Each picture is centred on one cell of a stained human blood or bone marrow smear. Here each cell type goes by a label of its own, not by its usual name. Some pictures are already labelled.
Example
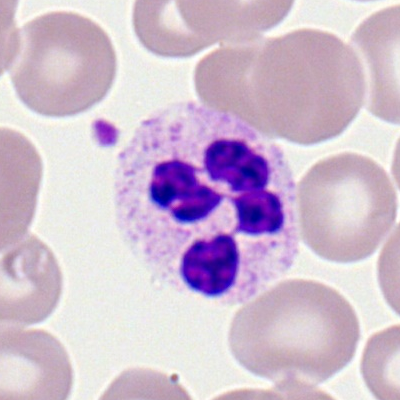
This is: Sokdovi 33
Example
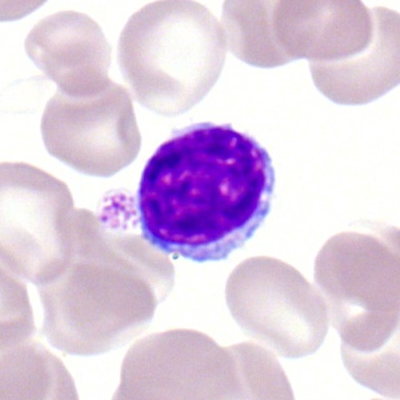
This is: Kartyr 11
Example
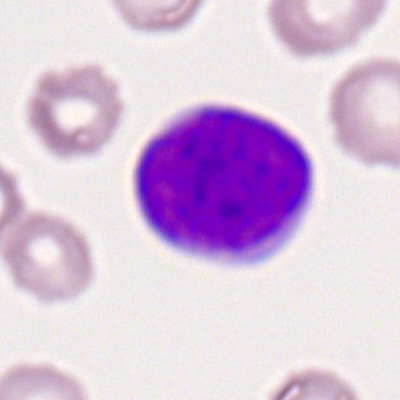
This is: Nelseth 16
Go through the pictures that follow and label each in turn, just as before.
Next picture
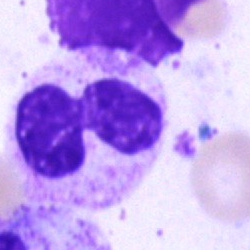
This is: Sokdovi 33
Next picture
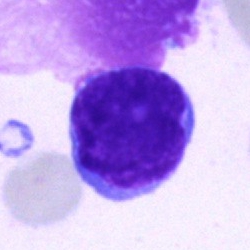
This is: Nelseth 16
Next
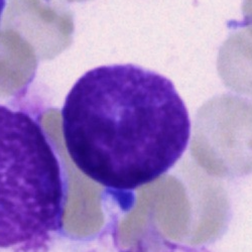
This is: Nelseth 16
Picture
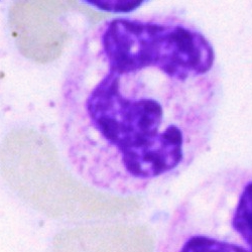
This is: Sokdovi 33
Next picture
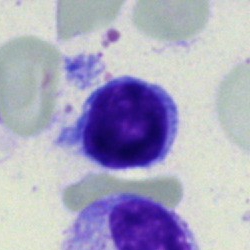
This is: Kartyr 11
